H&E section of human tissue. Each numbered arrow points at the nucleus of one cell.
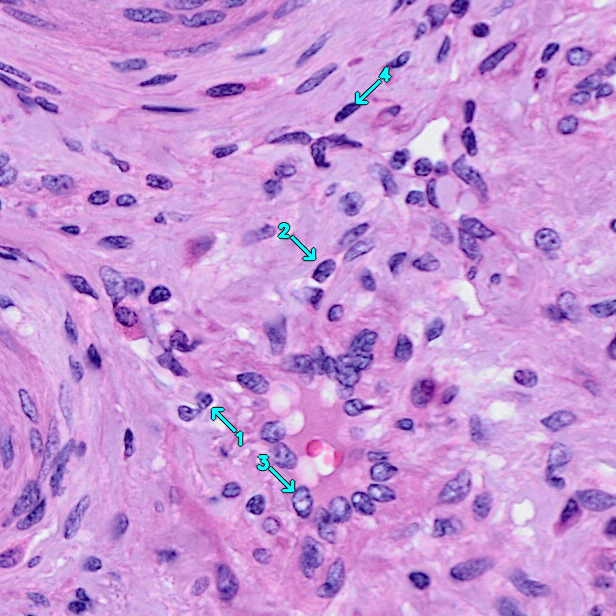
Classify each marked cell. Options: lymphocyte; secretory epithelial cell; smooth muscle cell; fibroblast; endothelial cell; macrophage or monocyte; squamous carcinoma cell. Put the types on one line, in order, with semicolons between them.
lymphocyte; lymphocyte; endothelial cell; lymphocyte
